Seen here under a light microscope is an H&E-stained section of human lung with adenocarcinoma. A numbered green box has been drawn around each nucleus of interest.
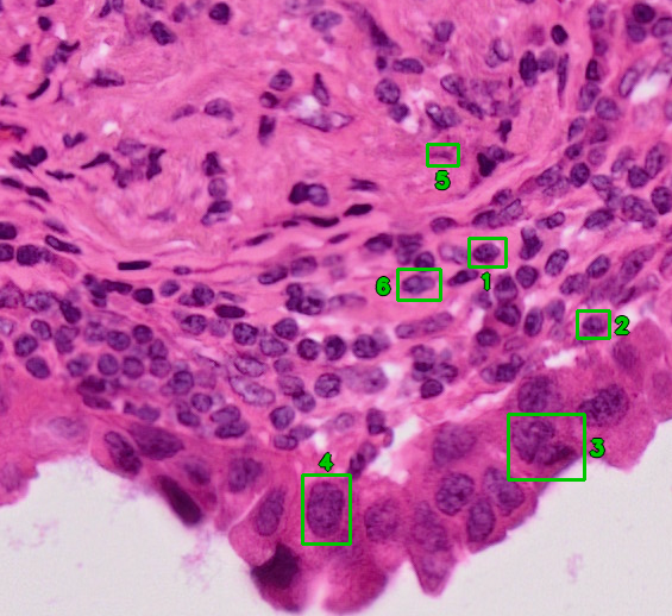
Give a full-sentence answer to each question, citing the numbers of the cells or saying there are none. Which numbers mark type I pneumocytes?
Across all the numbered cells, type I pneumocytes are absent.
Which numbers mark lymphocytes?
Cells 1, 2 and 6 are lymphocytes by cell type.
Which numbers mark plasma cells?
Nothing but cell 5 is a plasma cell among the numbered ones.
